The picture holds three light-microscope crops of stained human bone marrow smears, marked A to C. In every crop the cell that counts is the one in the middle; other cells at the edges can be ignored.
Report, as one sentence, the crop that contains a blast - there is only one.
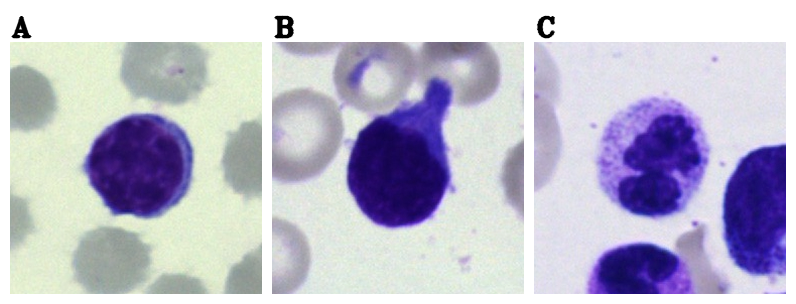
It is in crop B, among all the crops, that a blast is present.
